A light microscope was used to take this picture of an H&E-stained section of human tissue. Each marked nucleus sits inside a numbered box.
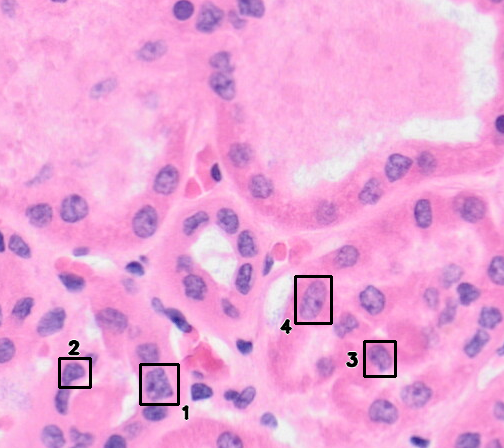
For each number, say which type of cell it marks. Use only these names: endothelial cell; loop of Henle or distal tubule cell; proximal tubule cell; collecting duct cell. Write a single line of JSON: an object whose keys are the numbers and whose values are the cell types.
{"1": "collecting duct cell", "2": "collecting duct cell", "3": "proximal tubule cell", "4": "proximal tubule cell"}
